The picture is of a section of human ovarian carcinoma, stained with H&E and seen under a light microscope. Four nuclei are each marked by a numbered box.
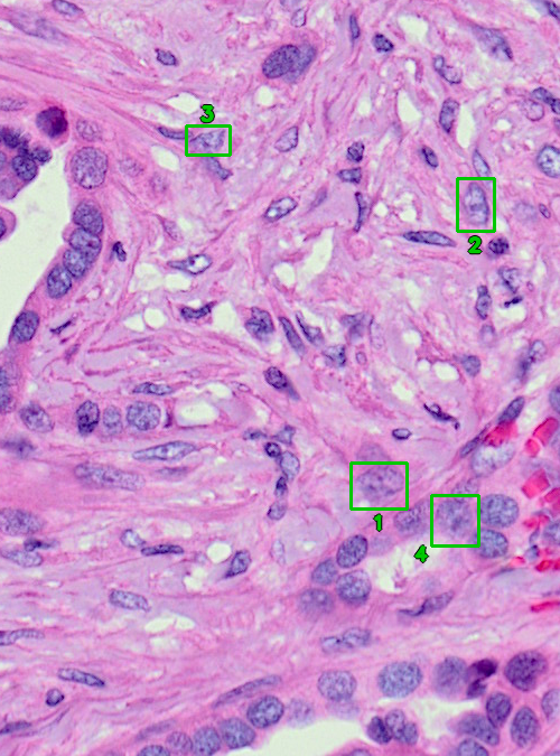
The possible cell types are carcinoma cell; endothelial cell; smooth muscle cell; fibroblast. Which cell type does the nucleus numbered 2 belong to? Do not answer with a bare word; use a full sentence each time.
The one numbered 2 among the marked cells is a fibroblast.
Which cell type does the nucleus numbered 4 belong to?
Cell 4, as marked in the section, is a carcinoma cell.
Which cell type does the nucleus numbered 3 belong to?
Cell 3 in the field is a fibroblast.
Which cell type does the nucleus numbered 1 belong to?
The mark numbered 1 indicates the nucleus of a fibroblast.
